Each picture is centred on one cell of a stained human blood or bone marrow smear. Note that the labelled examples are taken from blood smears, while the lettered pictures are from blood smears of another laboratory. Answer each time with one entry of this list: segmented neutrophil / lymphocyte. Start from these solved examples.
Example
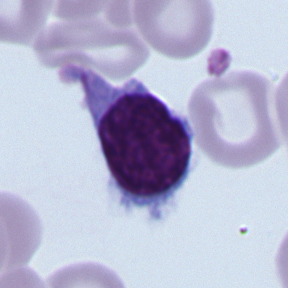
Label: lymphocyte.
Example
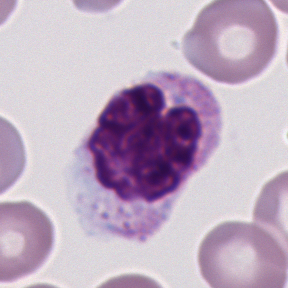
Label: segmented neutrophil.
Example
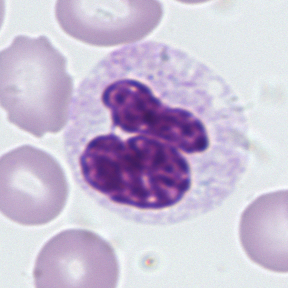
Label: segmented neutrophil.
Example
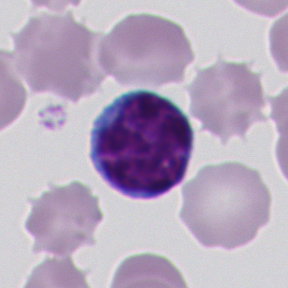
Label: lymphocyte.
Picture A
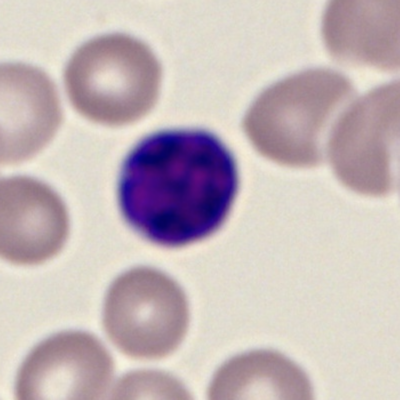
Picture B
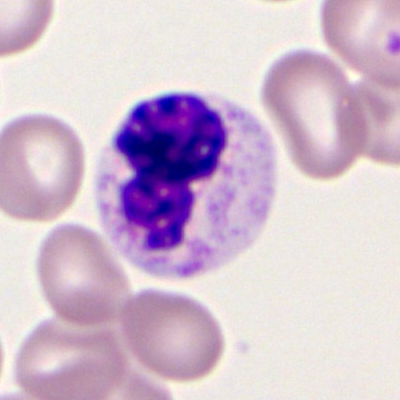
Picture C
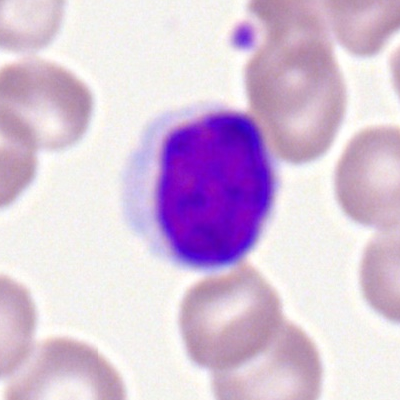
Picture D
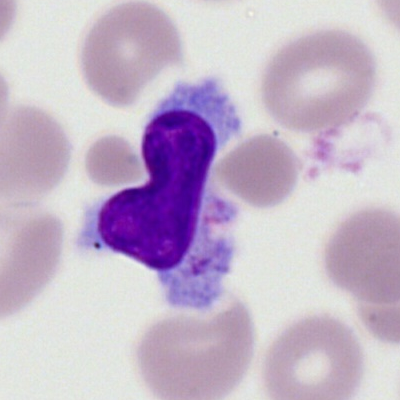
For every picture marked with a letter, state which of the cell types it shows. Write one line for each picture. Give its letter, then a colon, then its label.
A: lymphocyte.
B: segmented neutrophil.
C: lymphocyte.
D: lymphocyte.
